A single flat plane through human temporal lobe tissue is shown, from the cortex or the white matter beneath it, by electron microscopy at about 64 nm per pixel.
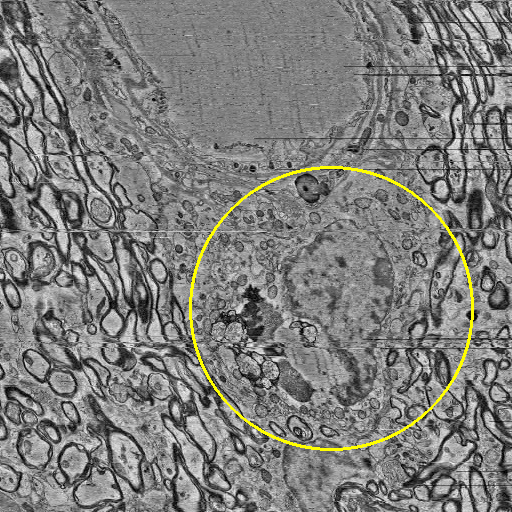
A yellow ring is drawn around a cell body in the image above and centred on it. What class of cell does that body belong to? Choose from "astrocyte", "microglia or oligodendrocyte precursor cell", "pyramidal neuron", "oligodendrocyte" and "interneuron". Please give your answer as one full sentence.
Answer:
The yellow ring above is centred on the cell body of an astrocyte.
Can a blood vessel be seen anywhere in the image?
Yes.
